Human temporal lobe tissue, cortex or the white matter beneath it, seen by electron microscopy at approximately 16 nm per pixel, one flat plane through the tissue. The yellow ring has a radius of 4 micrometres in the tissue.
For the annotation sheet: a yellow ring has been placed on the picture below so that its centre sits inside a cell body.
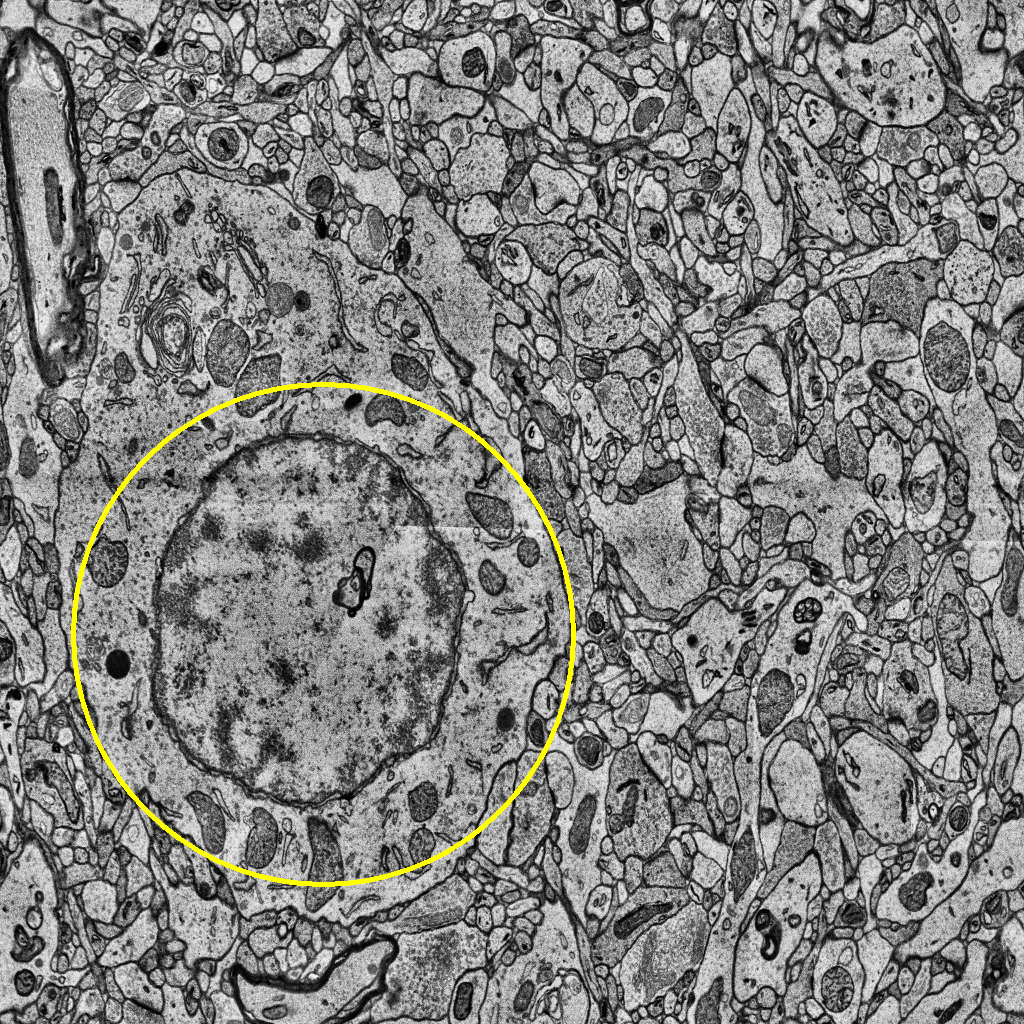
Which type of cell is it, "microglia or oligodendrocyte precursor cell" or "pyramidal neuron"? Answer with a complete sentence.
The cell at the ring's centre is a pyramidal neuron.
